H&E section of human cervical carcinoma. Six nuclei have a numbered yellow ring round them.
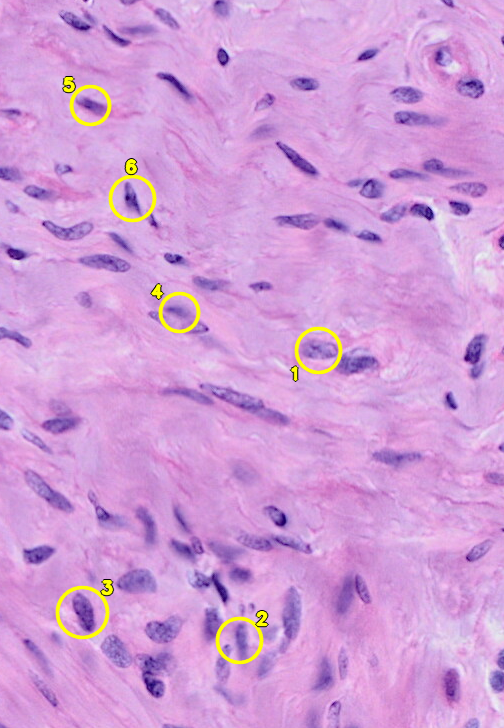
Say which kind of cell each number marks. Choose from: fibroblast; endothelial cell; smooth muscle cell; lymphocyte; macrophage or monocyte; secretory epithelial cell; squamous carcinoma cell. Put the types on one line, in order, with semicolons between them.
endothelial cell; fibroblast; fibroblast; fibroblast; smooth muscle cell; fibroblast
